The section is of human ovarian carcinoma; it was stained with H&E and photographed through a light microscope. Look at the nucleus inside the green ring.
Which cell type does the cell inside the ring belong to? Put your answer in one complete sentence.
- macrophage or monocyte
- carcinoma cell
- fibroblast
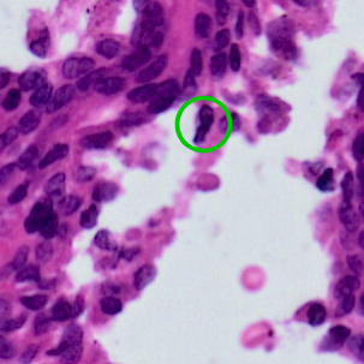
In the stained section, the cell inside the ring is a macrophage or monocyte.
